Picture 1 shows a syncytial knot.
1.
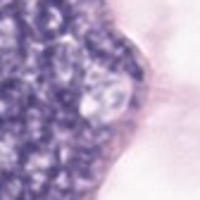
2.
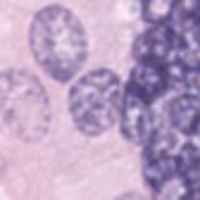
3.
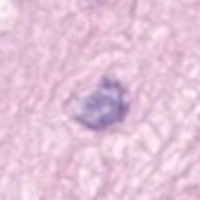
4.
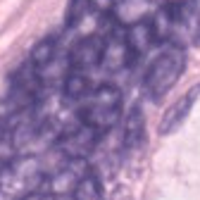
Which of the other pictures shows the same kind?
Picture 4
